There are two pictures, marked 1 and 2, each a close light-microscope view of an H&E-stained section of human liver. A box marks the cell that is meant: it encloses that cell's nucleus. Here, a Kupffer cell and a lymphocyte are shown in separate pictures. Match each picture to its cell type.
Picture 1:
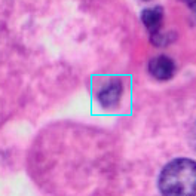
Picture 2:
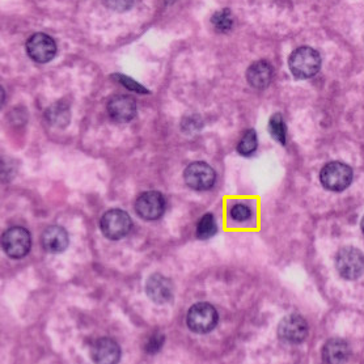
1: Kupffer cell
2: lymphocyte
